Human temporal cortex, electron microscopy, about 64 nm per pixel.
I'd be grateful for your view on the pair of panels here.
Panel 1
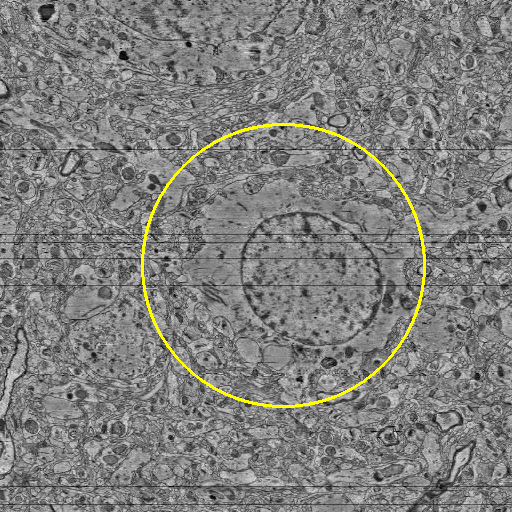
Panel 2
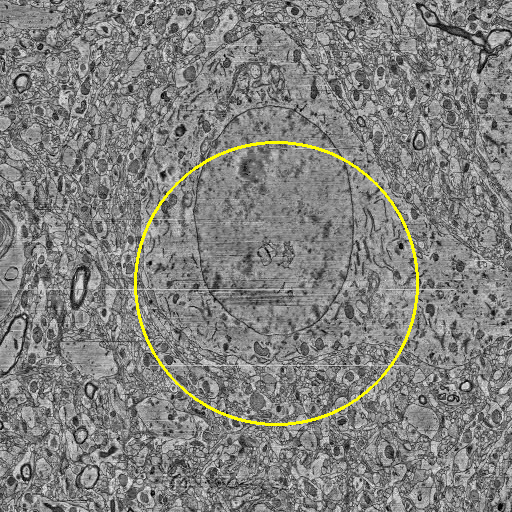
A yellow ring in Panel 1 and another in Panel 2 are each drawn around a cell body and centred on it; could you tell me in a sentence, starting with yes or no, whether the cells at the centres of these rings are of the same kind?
No, they are two kinds of cell.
